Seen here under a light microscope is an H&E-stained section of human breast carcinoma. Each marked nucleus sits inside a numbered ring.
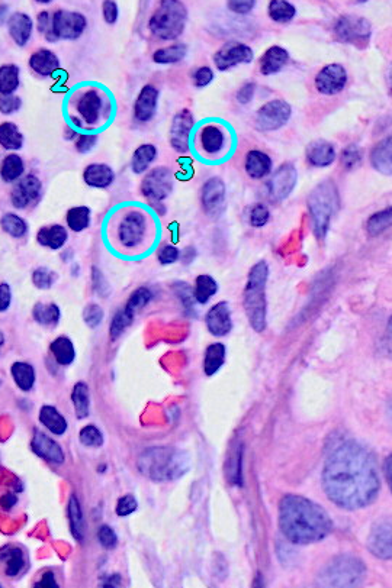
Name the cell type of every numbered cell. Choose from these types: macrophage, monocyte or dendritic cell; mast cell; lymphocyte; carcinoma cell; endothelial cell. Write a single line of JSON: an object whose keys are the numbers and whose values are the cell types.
{"1": "mast cell", "2": "lymphocyte", "3": "lymphocyte"}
